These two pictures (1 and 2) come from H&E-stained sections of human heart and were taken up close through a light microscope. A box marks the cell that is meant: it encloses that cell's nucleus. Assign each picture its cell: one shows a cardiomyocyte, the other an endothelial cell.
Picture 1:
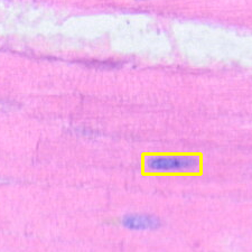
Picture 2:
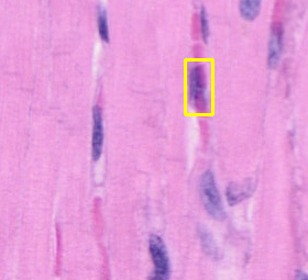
1: cardiomyocyte
2: endothelial cell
